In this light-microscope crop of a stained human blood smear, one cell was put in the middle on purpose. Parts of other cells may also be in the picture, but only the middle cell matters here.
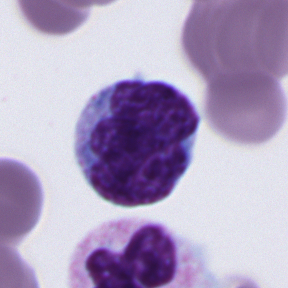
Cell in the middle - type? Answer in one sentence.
The central cell, amid any neighbouring cells, is a monocyte.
